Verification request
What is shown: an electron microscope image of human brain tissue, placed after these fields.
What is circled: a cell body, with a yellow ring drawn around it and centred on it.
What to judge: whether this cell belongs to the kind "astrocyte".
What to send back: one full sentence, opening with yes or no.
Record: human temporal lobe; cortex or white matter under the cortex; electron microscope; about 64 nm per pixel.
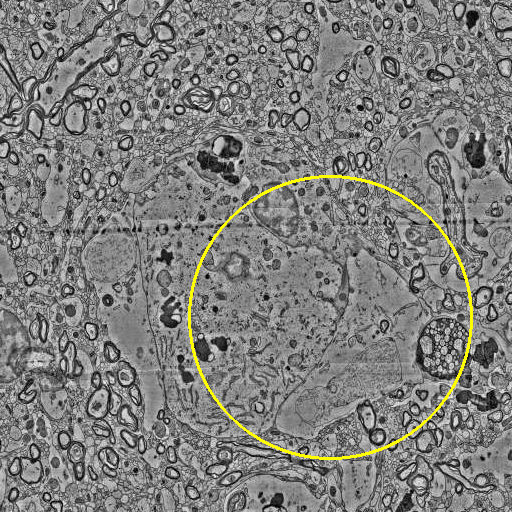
No, the cell on which the yellow ring is centred in the picture is of a different kind.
